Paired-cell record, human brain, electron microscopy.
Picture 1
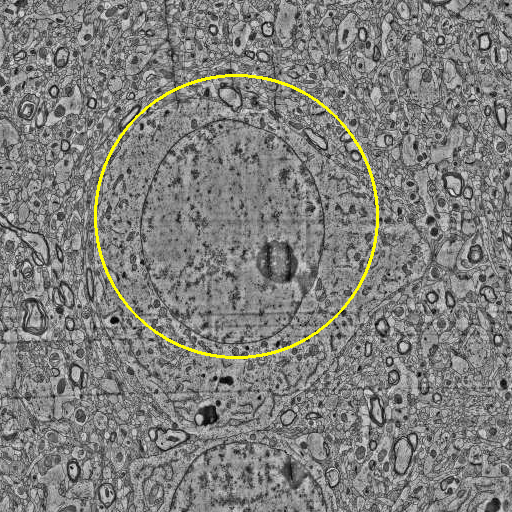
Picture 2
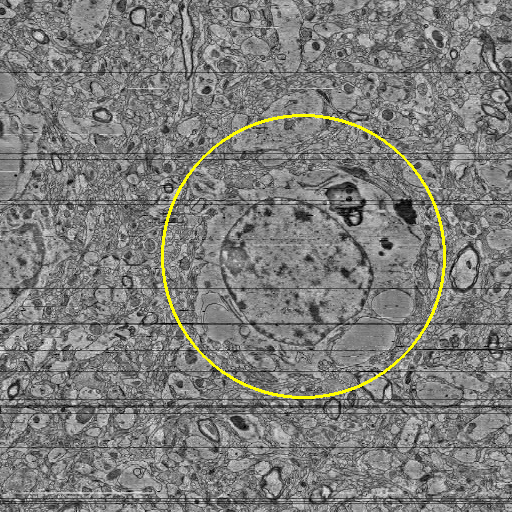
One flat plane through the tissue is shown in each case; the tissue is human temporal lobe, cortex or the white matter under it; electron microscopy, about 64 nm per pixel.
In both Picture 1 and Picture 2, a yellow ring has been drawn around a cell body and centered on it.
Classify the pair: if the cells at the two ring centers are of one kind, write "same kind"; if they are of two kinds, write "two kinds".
two kinds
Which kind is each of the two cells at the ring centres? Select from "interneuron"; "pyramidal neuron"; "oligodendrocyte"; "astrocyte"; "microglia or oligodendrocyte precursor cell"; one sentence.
The cell at the centre of the ring is a pyramidal neuron in the first picture and an astrocyte in the second.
